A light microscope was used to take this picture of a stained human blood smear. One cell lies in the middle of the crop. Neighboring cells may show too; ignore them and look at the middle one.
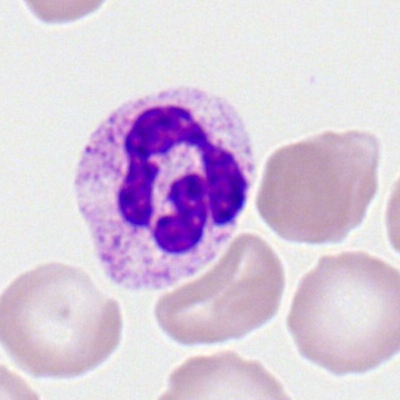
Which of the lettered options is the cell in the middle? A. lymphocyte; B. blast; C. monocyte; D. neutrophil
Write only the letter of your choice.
D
